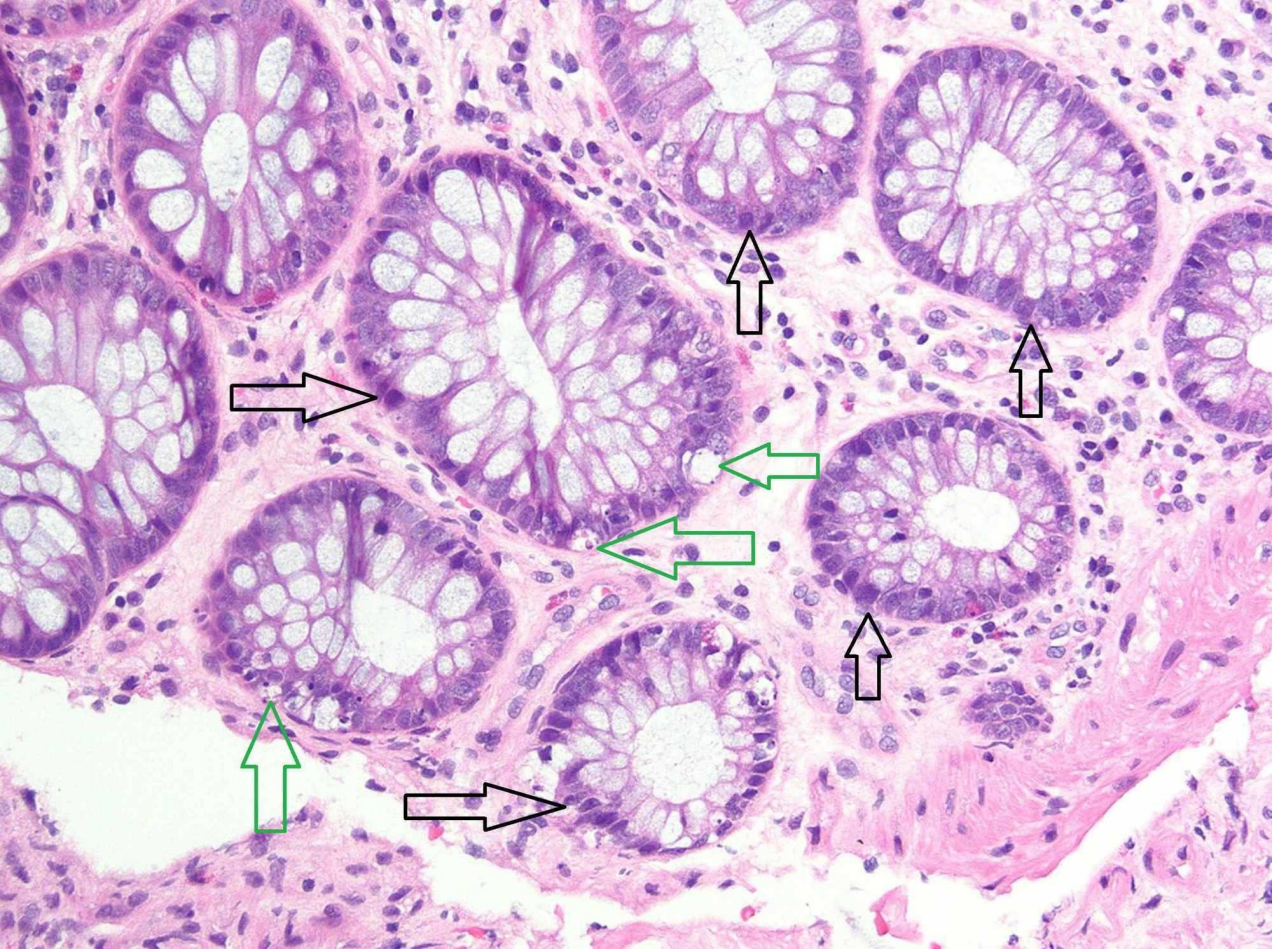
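Colonic mucosa with crypts cut in cross-section. The crypts lie in a cellular lamina propria. Each crypt is lined by a single layer of columnar epithelium. Its dark oval nuclei sit at the base, and numerous goblet cells with pale, clear mucin vacuoles are arranged radially around a central lumen. The crypts vary in size and shape and are unevenly spaced. Between them the lamina propria holds scattered small round mononuclear cells with dark nuclei. Near the bases of some crypts are small rounded clear vacuoles containing dark fragments. Pink bundles of smooth muscle with elongated nuclei lie at the lower right.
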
